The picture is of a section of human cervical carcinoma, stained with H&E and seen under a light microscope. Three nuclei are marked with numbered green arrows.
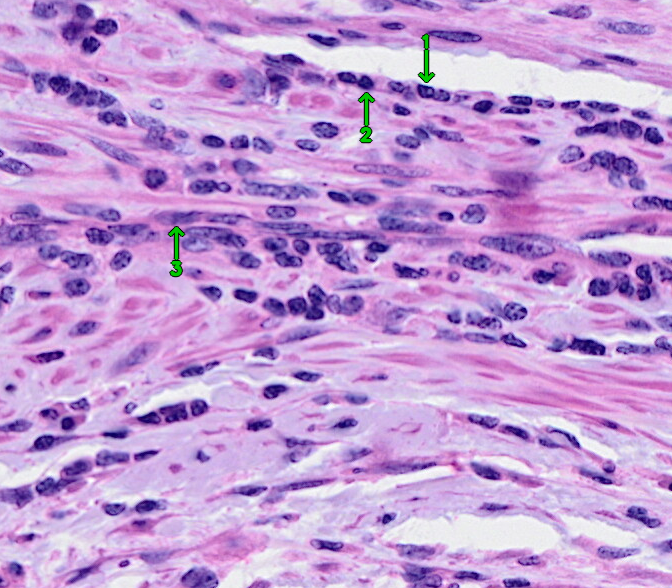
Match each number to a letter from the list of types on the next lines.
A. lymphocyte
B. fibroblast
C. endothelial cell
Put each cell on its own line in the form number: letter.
1: A
2: A
3: C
